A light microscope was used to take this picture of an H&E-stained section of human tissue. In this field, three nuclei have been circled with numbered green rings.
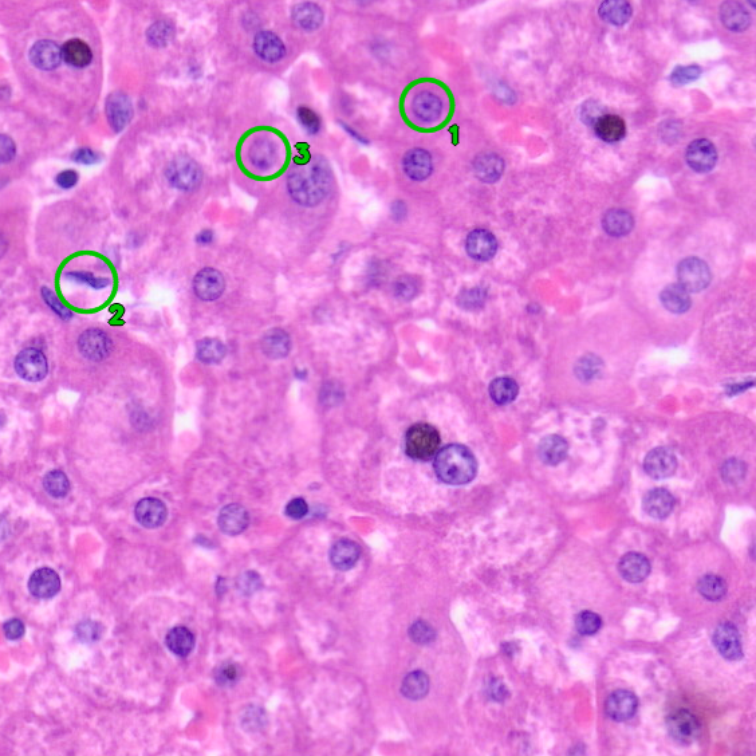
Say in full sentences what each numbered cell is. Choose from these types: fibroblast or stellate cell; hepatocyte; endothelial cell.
Cells 1 and 3 are hepatocytes. Cell 2 is an endothelial cell.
